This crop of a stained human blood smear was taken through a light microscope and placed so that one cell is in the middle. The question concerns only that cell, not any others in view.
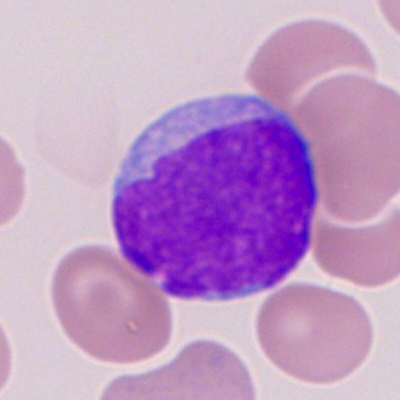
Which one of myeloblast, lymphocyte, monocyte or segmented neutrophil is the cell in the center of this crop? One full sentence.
The cell shown in the center of this light-microscope crop is a myeloblast.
